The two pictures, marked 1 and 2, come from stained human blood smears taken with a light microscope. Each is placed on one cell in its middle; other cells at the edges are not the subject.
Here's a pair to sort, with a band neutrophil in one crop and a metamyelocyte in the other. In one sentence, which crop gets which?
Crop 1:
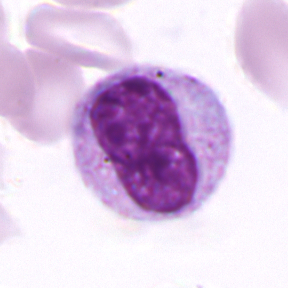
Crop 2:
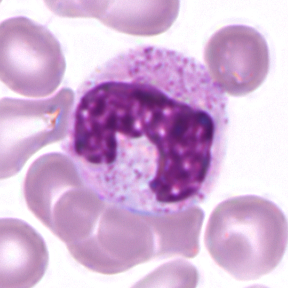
Crop 1 is to be labelled a metamyelocyte, and crop 2 a band neutrophil.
